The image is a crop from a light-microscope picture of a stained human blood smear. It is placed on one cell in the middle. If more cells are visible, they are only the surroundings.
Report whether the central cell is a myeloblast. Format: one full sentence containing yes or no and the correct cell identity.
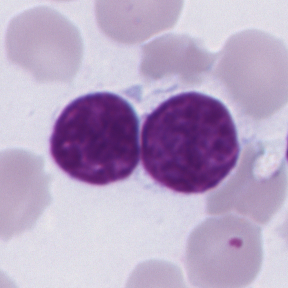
Yes, the central cell here is a myeloblast.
